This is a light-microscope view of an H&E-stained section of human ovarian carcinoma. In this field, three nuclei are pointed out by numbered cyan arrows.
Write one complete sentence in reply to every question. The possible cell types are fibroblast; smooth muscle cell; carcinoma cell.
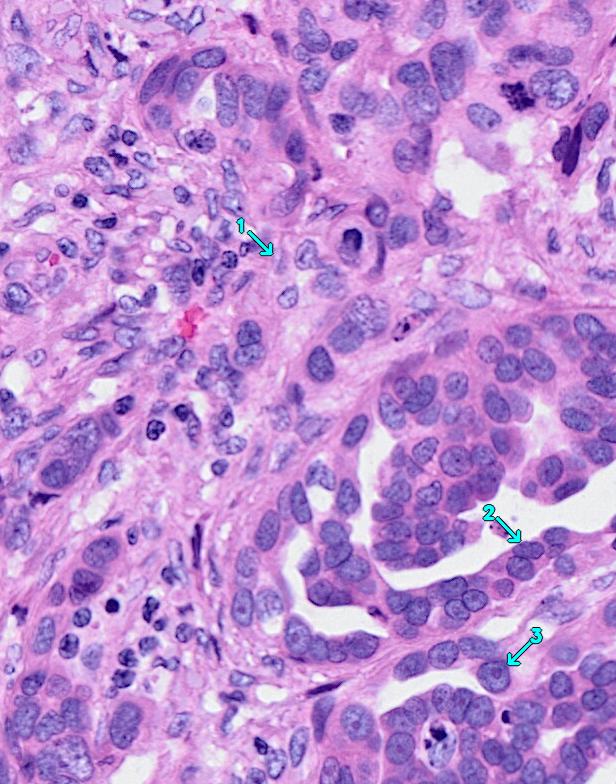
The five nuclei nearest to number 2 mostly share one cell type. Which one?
Around number 2, most of the five nearest nuclei are those of carcinoma cells.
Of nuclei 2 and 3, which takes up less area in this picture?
The smaller nucleus is 2, and 3 covers roughly 1.5 times its area.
